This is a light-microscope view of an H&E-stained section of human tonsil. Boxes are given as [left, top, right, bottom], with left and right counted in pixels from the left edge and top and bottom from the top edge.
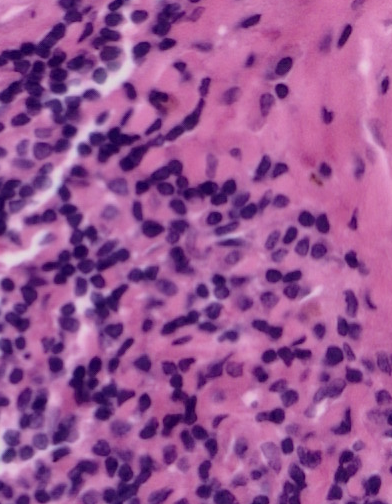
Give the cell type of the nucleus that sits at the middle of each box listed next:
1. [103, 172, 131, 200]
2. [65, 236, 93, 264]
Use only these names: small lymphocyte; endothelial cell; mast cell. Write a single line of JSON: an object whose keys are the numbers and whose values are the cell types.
{"1": "endothelial cell", "2": "small lymphocyte"}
